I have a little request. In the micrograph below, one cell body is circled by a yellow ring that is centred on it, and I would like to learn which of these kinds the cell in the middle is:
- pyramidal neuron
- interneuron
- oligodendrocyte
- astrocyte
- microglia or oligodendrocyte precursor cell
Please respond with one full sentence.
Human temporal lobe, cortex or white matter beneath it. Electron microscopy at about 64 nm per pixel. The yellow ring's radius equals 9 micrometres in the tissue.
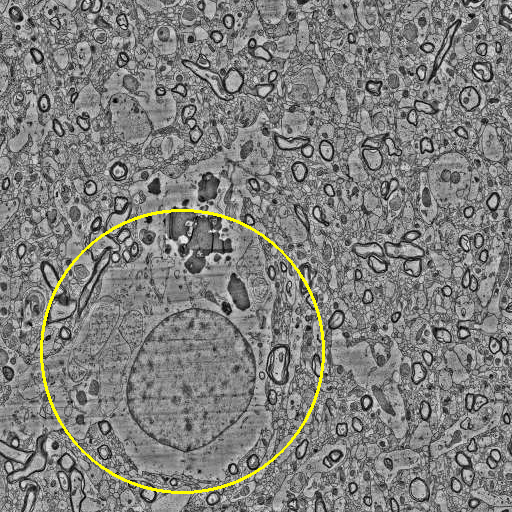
The cell sitting in the middle of the yellow ring in the micrograph is an astrocyte.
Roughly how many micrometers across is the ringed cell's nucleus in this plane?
Approximately 9 micrometres across, in this plane.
